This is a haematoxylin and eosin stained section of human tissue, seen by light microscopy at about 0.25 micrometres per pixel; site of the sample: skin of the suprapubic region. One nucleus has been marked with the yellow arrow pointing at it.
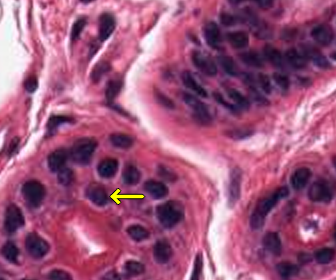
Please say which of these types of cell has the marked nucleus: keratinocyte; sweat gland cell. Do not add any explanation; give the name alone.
sweat gland cell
